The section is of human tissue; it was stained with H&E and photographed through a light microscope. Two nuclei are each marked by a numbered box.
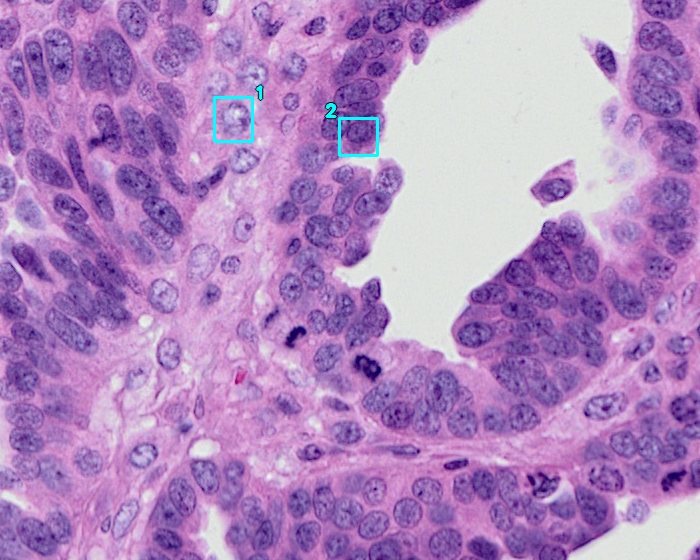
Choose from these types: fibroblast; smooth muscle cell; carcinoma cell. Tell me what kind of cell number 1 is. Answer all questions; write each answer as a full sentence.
The cell given label 1 is a fibroblast.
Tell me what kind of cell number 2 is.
The nucleus labelled 2 belongs to a carcinoma cell.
